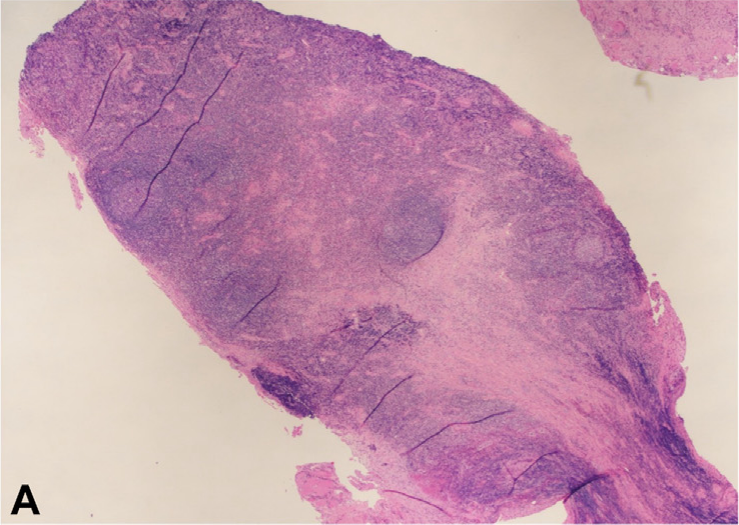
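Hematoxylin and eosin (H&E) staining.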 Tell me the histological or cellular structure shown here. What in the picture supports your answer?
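Several rounded, darker purple nodules are scattered through the section. Paler pink fibrous tissue lies between the nodules. So: dense lymphoid aggregates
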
